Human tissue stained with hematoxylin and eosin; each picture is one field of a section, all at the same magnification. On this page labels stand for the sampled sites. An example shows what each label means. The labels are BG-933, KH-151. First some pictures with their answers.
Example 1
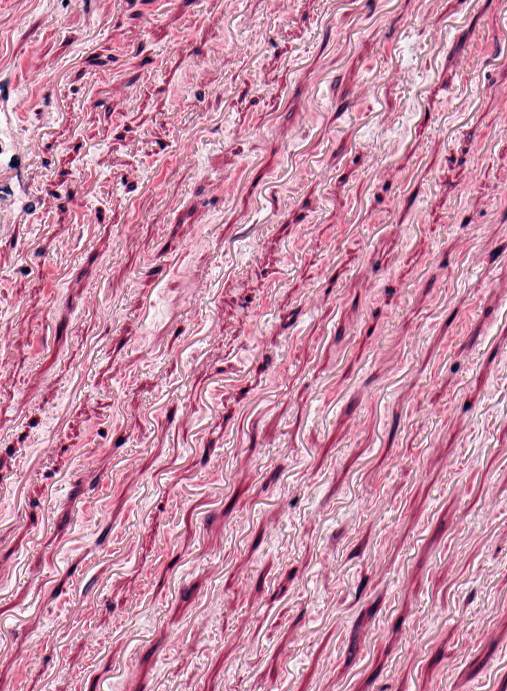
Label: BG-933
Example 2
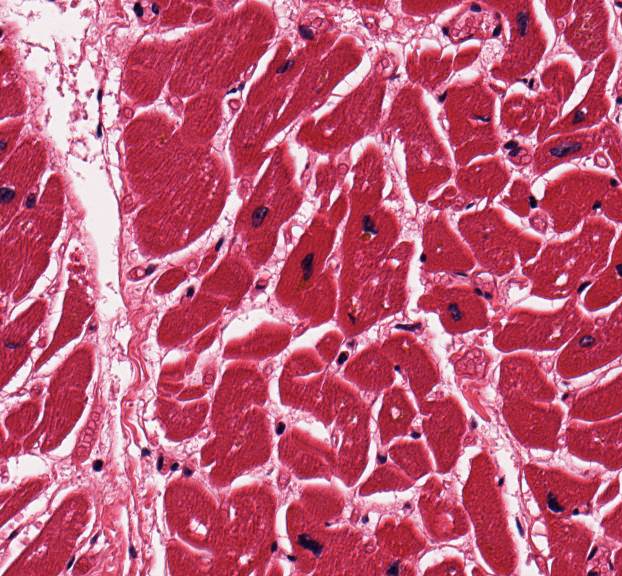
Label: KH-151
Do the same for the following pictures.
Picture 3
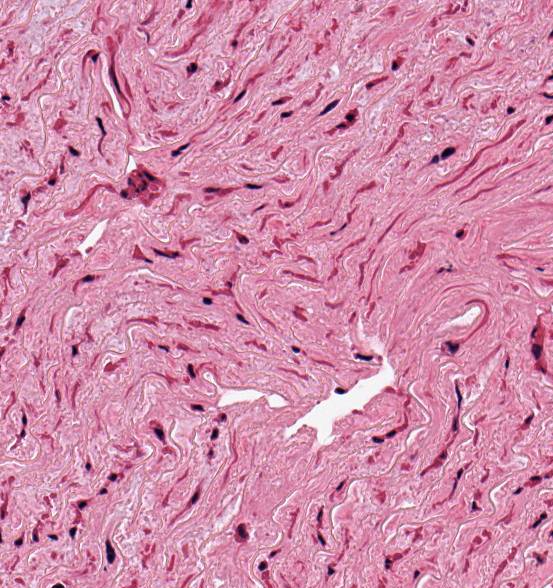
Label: BG-933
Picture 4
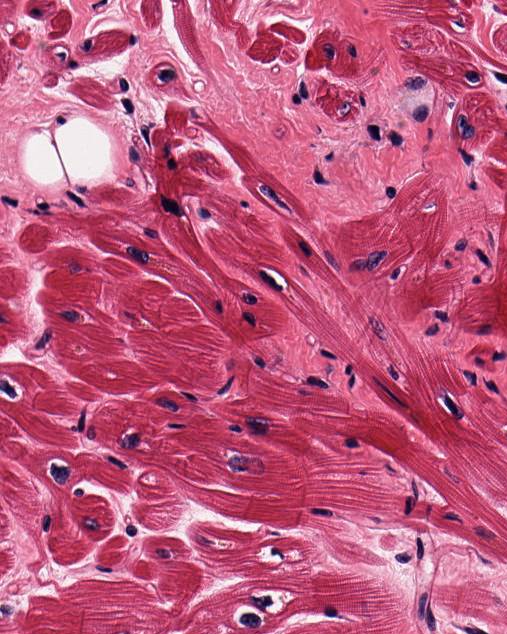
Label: KH-151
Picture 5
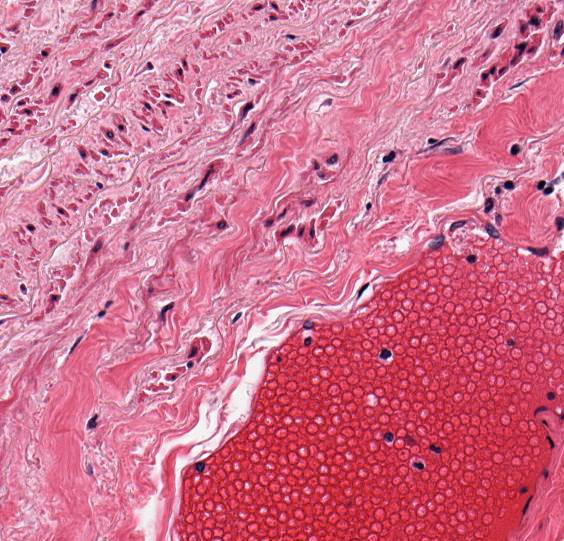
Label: BG-933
